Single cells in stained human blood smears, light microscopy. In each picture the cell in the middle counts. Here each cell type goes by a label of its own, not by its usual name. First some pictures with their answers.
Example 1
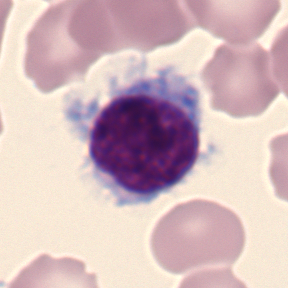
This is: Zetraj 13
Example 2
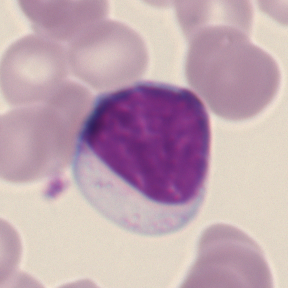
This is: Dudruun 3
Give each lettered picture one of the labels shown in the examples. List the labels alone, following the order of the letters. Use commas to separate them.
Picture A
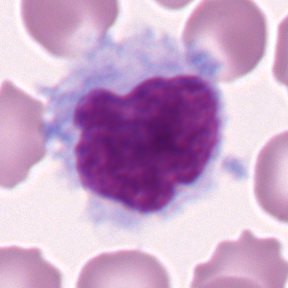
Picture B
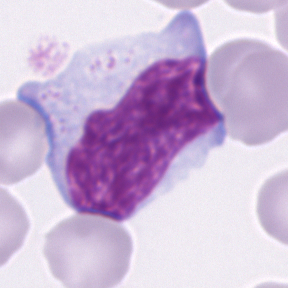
Zetraj 13, Dudruun 3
